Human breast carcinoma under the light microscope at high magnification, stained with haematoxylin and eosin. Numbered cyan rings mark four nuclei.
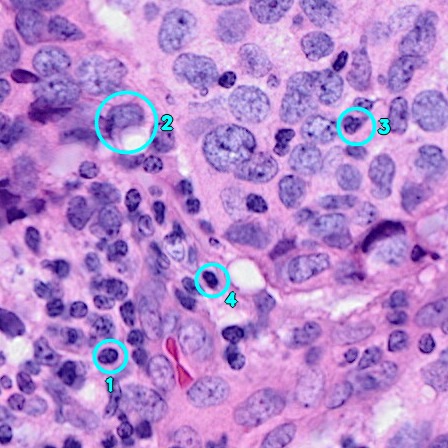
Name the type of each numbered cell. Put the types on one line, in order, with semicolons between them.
lymphocyte; carcinoma cell; lymphocyte; lymphocyte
